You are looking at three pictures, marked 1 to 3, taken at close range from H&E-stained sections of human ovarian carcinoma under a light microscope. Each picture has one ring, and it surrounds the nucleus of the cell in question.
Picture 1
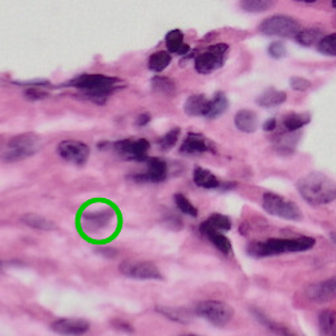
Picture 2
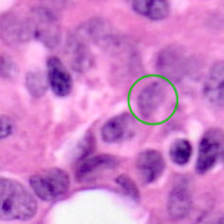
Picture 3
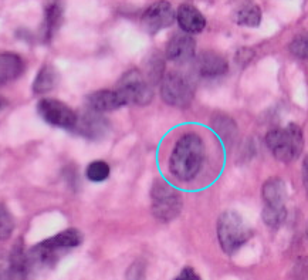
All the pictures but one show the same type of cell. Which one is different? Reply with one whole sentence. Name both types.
Picture 1 is the odd one out: it shows a fibroblast, while the others show carcinoma cells.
